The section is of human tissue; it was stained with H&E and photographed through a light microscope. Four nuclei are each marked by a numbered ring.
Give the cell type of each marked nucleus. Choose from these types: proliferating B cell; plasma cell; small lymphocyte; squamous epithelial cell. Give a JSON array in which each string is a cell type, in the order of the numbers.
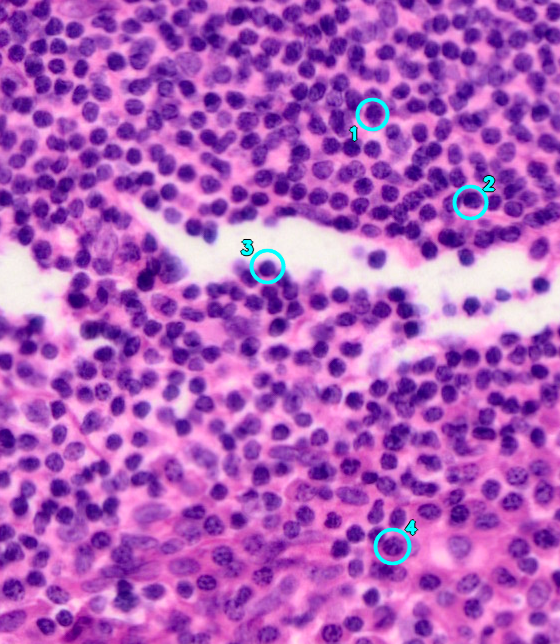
["small lymphocyte", "small lymphocyte", "small lymphocyte", "plasma cell"]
